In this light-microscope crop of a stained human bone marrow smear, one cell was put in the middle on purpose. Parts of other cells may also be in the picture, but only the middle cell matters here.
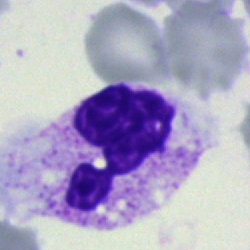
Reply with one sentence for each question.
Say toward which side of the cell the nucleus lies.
The nucleus is pushed toward the top of the cell.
